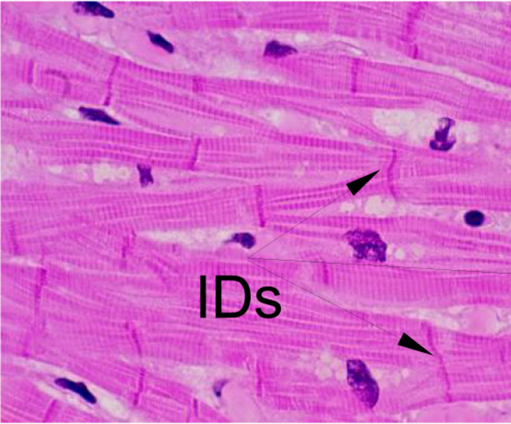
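Cardiac muscle cells are seen in longitudinal section as long pink fibres that run roughly parallel across the field. Their cytoplasm stains pink and shows fine, regular cross-striations along the length of each fibre. Some fibres branch and join neighbouring fibres. At intervals, thin dark lines cross the fibres at their ends where one cell meets the next; arrowheads point to several of these. Dark purple nuclei lie within the fibres and in the spaces between them. Some of these nuclei are oval and others are more irregular. Pale, clear areas are seen between some of the fibres.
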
